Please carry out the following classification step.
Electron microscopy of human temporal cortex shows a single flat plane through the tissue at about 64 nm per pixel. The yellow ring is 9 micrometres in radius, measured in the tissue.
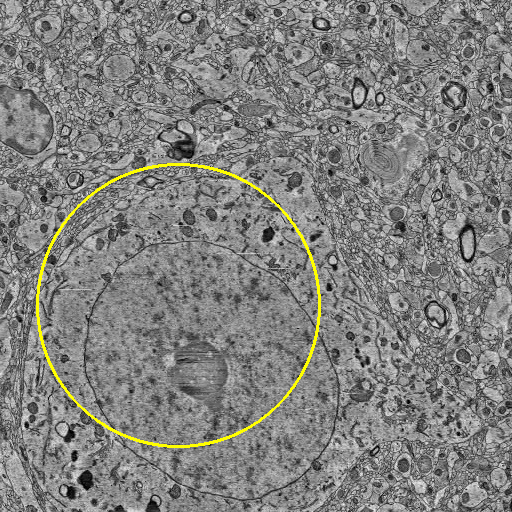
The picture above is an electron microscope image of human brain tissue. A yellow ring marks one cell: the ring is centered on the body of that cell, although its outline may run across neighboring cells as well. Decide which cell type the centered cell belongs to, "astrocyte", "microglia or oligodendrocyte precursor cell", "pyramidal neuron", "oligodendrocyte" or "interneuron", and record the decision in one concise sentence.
The cell centered in the yellow ring is a pyramidal neuron.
